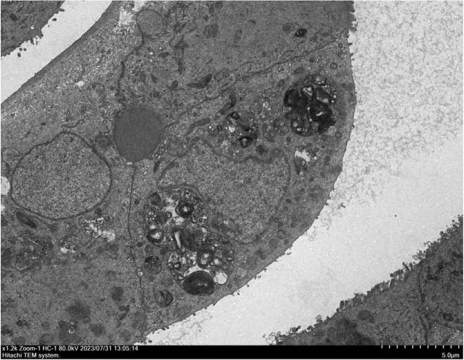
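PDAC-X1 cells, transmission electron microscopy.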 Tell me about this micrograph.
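The cytoplasm holds clusters of large membrane-bound bodies with dark, heterogeneous contents and clear vacuoles. The cell surface facing the pale surroundings is fairly smooth with few projections.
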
